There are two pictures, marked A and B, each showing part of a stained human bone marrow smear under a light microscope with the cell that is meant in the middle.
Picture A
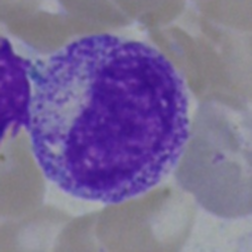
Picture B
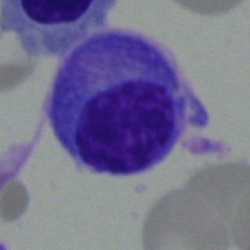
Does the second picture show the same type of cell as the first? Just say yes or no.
no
